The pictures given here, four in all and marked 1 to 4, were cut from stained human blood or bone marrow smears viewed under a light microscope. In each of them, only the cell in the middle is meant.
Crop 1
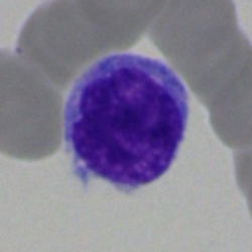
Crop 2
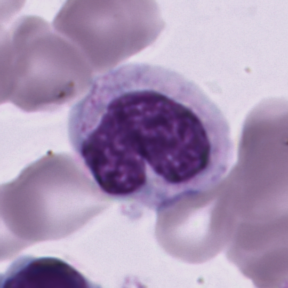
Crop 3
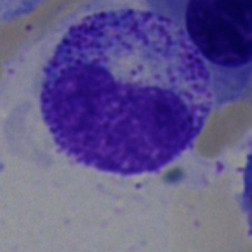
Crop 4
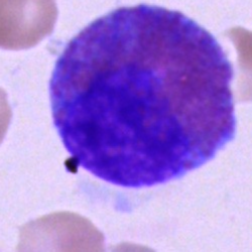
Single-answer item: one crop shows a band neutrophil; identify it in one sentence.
The correct choice is crop 2, the one showing a band neutrophil.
